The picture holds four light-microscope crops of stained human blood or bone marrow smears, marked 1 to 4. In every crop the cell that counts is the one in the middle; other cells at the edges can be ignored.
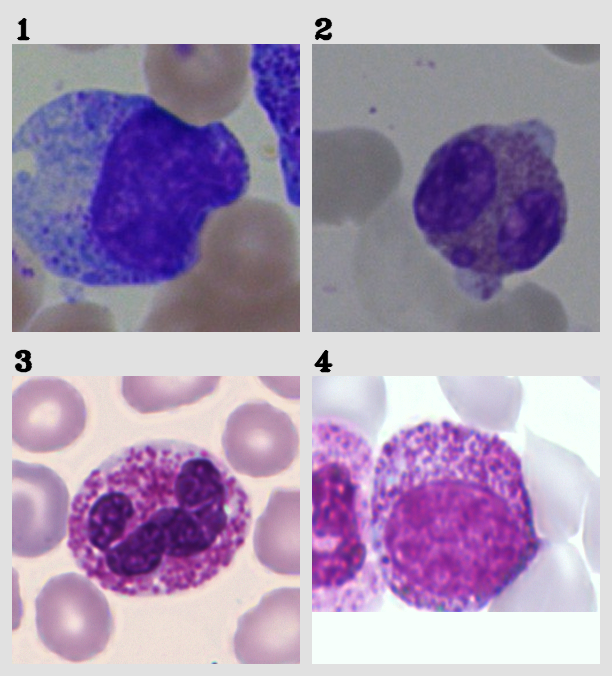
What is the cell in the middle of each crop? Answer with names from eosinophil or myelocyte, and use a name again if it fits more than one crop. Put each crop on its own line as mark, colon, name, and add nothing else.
1: myelocyte
2: eosinophil
3: eosinophil
4: myelocyte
